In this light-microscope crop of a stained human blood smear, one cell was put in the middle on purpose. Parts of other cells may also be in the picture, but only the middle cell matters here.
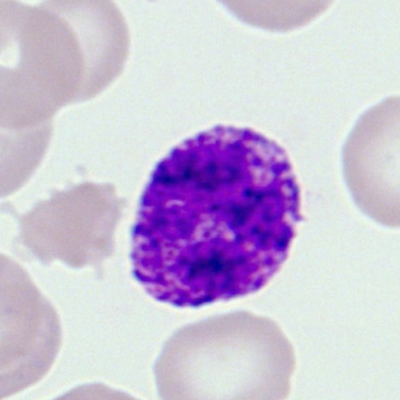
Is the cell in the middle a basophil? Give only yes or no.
yes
